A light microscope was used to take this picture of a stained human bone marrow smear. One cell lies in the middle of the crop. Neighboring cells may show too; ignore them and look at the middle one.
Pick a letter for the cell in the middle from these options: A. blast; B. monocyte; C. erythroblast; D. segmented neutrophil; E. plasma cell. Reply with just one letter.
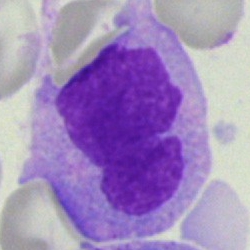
B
